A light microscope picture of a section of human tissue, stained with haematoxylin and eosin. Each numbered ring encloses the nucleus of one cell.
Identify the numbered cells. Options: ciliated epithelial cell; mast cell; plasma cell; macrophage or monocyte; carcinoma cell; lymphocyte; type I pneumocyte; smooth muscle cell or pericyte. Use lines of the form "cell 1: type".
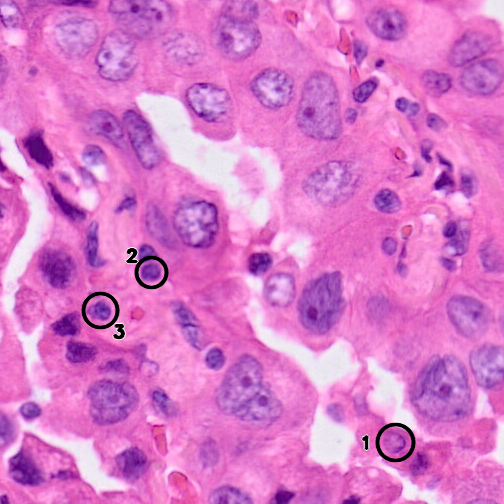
cell 1: macrophage or monocyte
cell 2: lymphocyte
cell 3: lymphocyte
